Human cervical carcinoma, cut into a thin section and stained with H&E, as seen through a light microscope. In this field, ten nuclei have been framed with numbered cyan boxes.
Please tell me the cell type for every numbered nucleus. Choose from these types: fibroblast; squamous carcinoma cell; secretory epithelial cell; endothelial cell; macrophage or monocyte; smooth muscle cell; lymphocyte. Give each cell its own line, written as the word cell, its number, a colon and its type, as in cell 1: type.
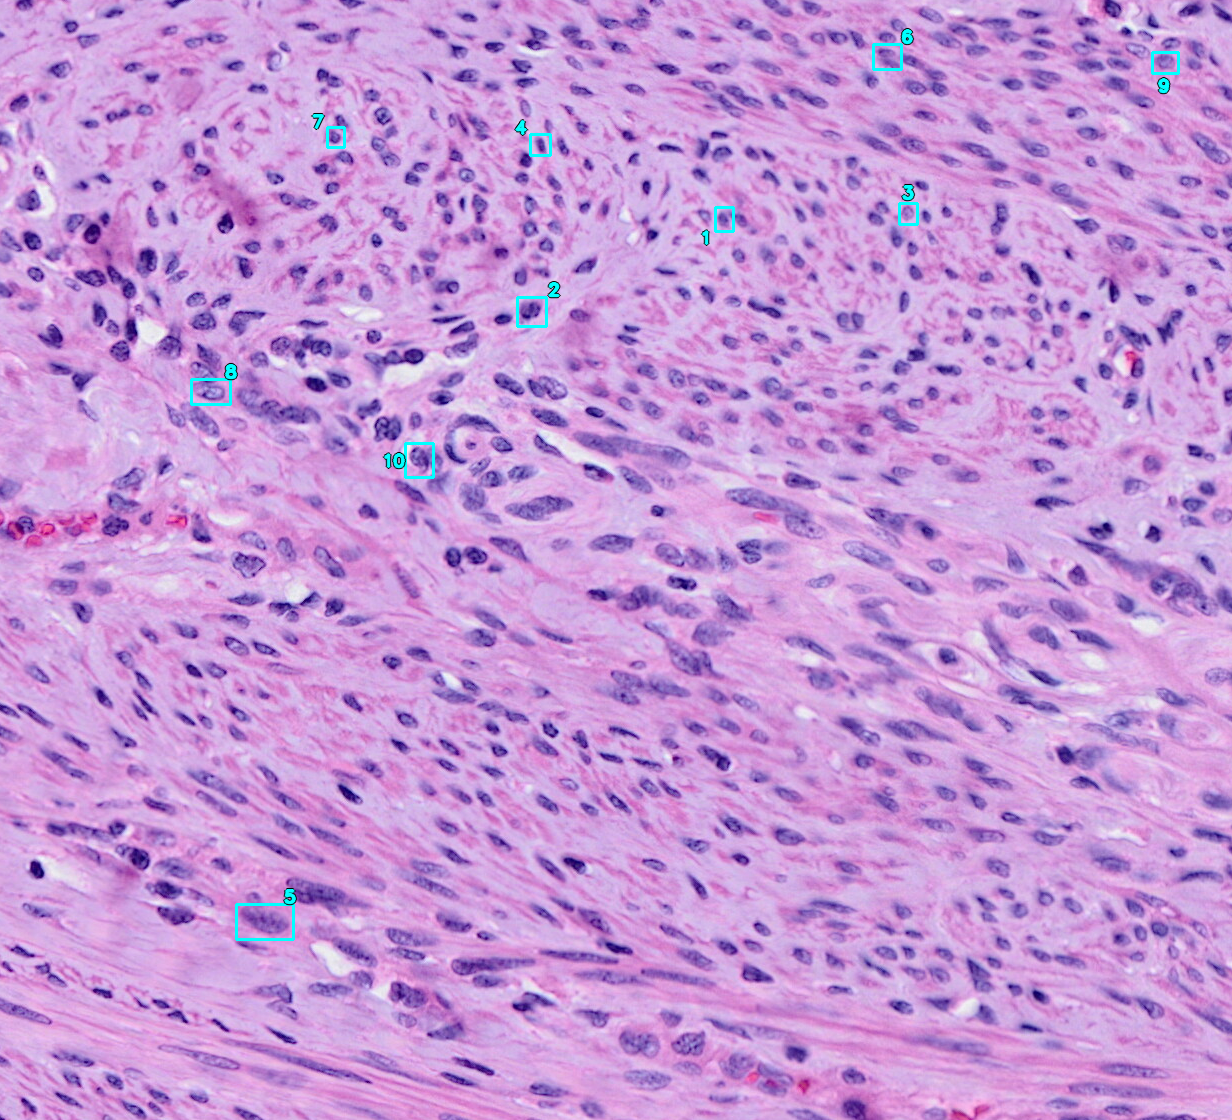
cell 1: smooth muscle cell
cell 2: lymphocyte
cell 3: smooth muscle cell
cell 4: smooth muscle cell
cell 5: endothelial cell
cell 6: smooth muscle cell
cell 7: smooth muscle cell
cell 8: endothelial cell
cell 9: smooth muscle cell
cell 10: lymphocyte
